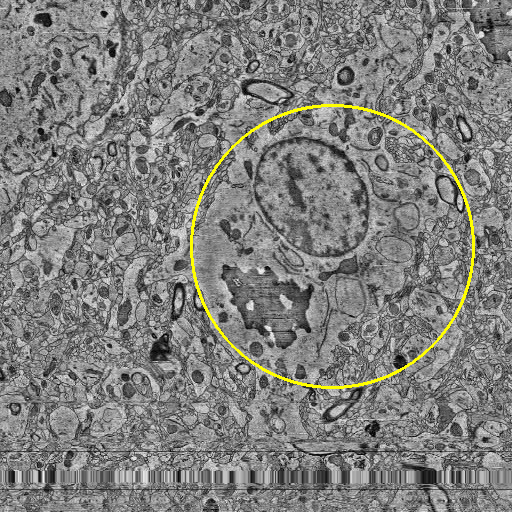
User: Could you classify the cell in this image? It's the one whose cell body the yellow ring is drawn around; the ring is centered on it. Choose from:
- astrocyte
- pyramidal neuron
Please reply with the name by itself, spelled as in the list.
astrocyte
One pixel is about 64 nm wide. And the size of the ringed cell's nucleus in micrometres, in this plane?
Roughly 9 micrometres by 6 micrometres, in this plane.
